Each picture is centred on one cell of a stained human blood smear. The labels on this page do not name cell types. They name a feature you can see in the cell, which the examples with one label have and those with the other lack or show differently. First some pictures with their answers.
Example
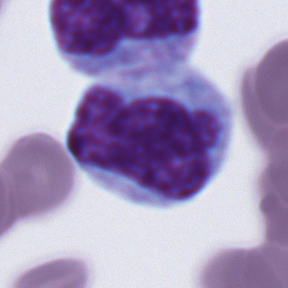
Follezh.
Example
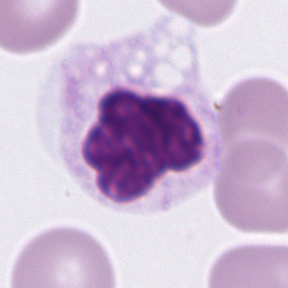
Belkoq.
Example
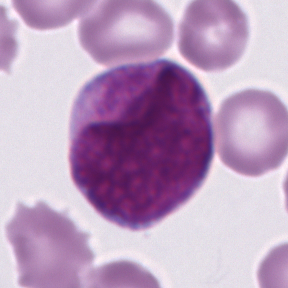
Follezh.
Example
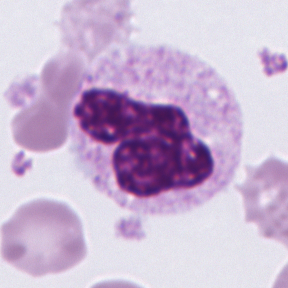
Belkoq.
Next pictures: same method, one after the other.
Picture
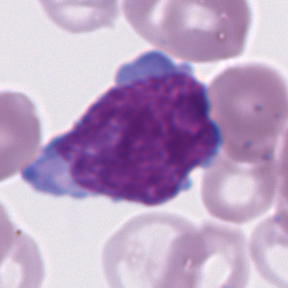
Follezh.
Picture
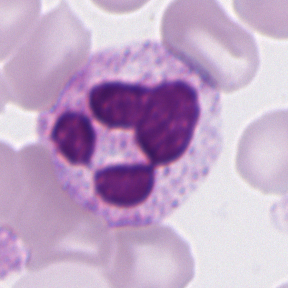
Follezh.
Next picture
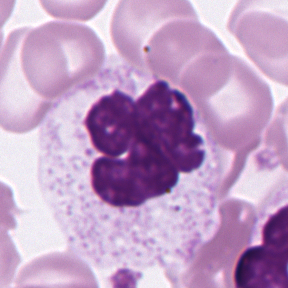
Follezh.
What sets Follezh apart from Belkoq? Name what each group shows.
In Follezh: no vacuoles. In Belkoq: vacuoles present.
